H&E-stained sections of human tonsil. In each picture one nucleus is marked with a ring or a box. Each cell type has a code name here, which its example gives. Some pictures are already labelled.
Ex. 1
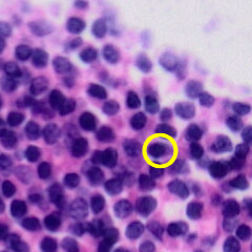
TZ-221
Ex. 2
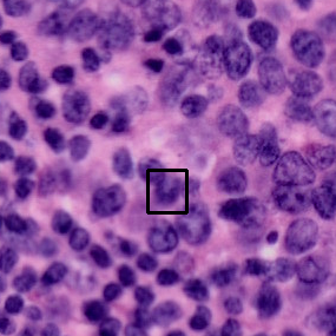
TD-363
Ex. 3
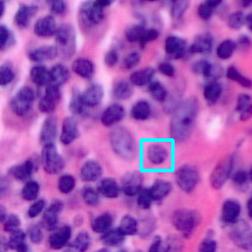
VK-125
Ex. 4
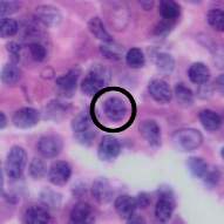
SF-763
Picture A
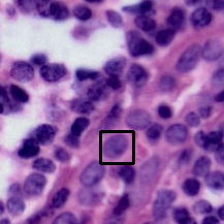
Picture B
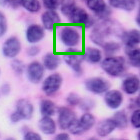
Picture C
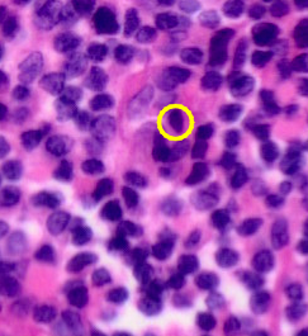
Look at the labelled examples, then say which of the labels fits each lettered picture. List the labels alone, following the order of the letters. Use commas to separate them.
VK-125, TZ-221, VK-125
